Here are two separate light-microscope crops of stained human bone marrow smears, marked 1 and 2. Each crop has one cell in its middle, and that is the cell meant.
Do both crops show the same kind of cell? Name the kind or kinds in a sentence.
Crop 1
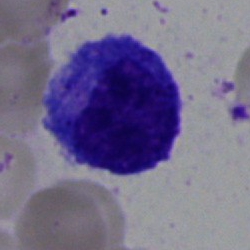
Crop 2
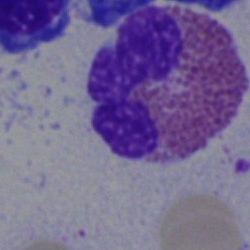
No, an eosinophil is the cell of crop 2, while a promyelocyte is the cell of crop 1.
